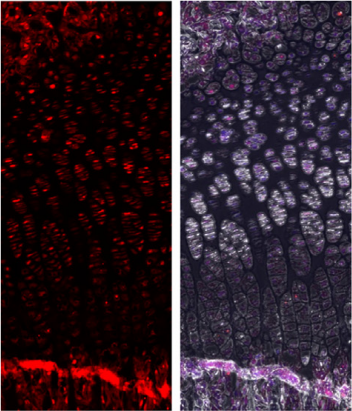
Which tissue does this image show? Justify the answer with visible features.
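Chondrocytes are stacked in longitudinal columns. Cells enlarge markedly toward the lower end of the field.
Answer: growth plate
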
